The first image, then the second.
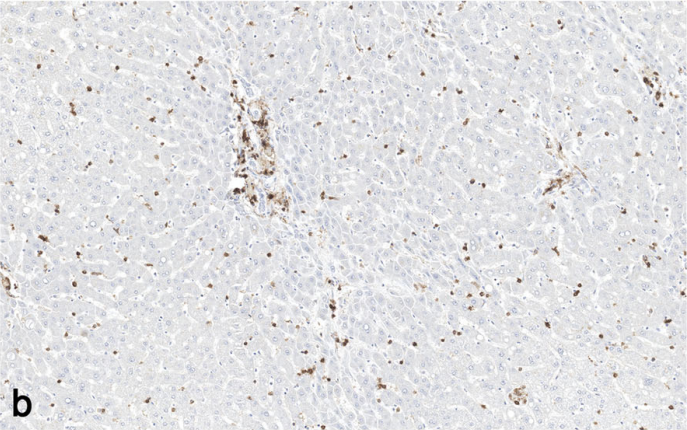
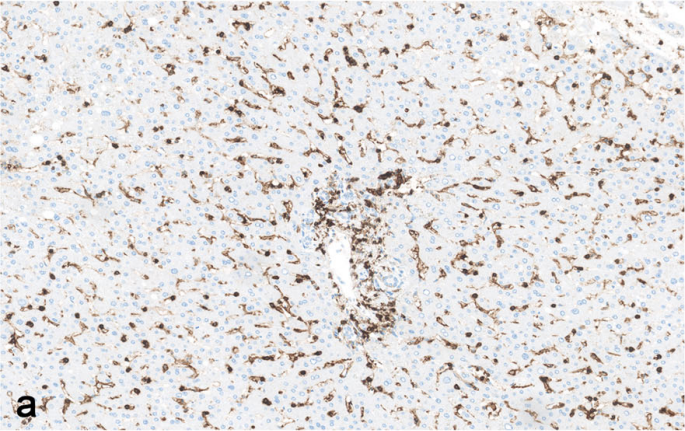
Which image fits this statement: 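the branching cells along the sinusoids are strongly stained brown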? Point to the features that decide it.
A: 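The second image. First image: only scattered small round brown cells; the branching sinusoidal cells are barely visible. Second image: many elongated, branching sinusoidal cells are stained dark brown throughout.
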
